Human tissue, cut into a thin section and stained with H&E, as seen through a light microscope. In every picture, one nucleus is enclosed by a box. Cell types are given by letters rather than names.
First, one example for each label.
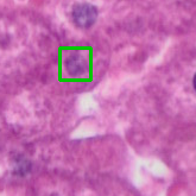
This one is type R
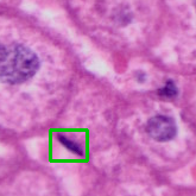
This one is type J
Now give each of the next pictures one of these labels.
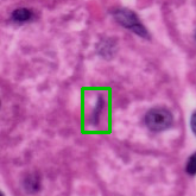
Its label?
type J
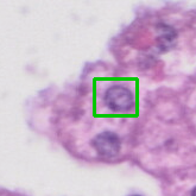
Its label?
type R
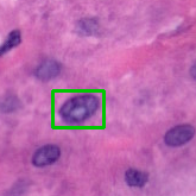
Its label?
type R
